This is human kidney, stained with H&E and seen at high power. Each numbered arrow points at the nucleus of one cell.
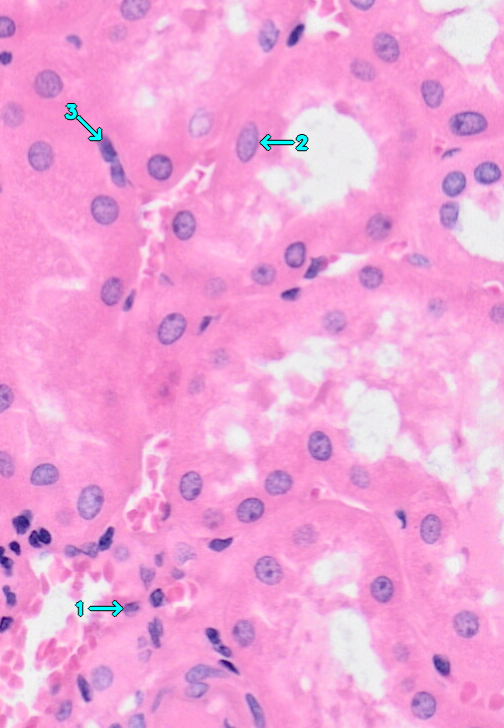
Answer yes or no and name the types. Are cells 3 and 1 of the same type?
Yes, the two cells marked 3 and 1 are both endothelial cells.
